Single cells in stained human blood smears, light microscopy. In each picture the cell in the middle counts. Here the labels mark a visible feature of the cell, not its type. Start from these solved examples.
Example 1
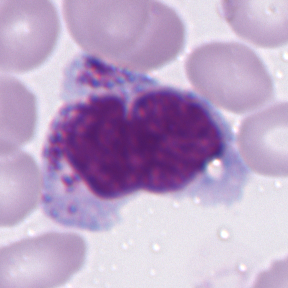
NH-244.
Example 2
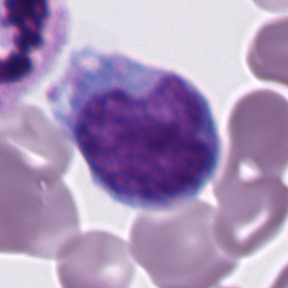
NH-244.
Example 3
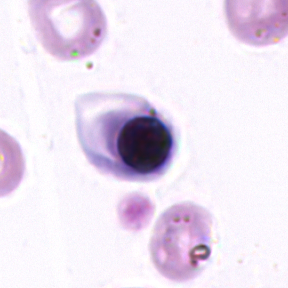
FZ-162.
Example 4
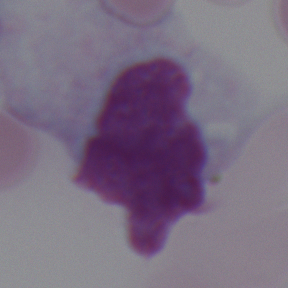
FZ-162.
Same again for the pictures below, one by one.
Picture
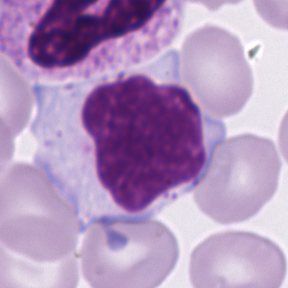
FZ-162.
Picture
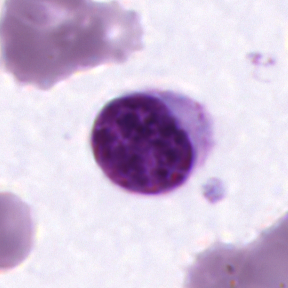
NH-244.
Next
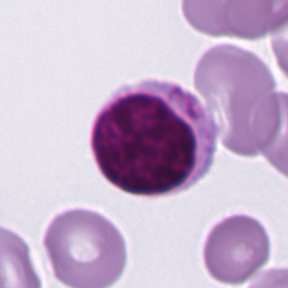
NH-244.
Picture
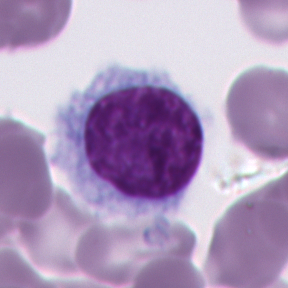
FZ-162.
